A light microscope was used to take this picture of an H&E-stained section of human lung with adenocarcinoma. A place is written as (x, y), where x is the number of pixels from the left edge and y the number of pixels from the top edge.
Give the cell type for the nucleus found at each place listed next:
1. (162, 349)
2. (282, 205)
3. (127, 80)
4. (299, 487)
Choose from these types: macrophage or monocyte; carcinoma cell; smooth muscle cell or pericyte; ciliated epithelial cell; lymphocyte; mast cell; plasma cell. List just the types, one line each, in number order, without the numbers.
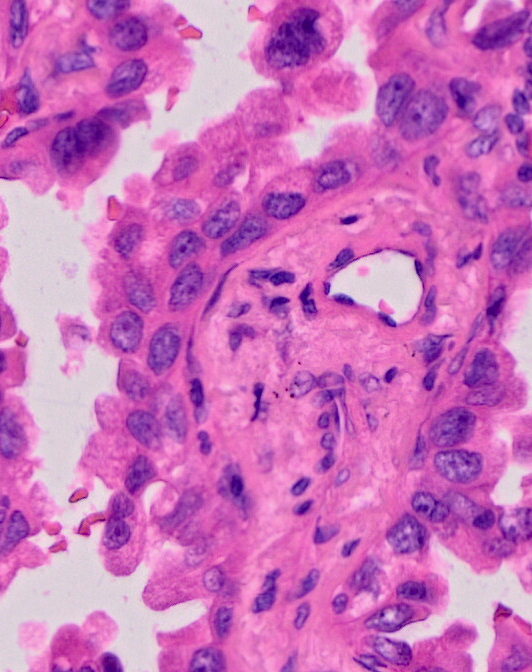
carcinoma cell
carcinoma cell
carcinoma cell
lymphocyte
